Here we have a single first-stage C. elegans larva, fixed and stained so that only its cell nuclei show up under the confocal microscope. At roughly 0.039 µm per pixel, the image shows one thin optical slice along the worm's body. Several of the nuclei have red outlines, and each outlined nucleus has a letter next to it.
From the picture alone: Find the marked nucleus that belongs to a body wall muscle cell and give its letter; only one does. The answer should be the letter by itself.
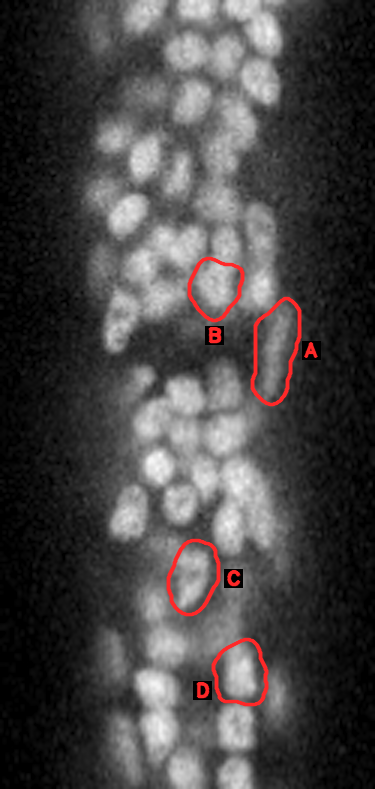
A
